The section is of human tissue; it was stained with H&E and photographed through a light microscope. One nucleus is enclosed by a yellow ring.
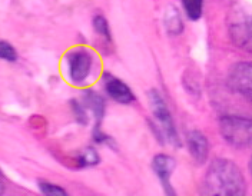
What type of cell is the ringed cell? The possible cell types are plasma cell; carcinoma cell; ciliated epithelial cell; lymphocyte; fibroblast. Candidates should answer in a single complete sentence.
Recorded by type, the ringed cell is a plasma cell.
